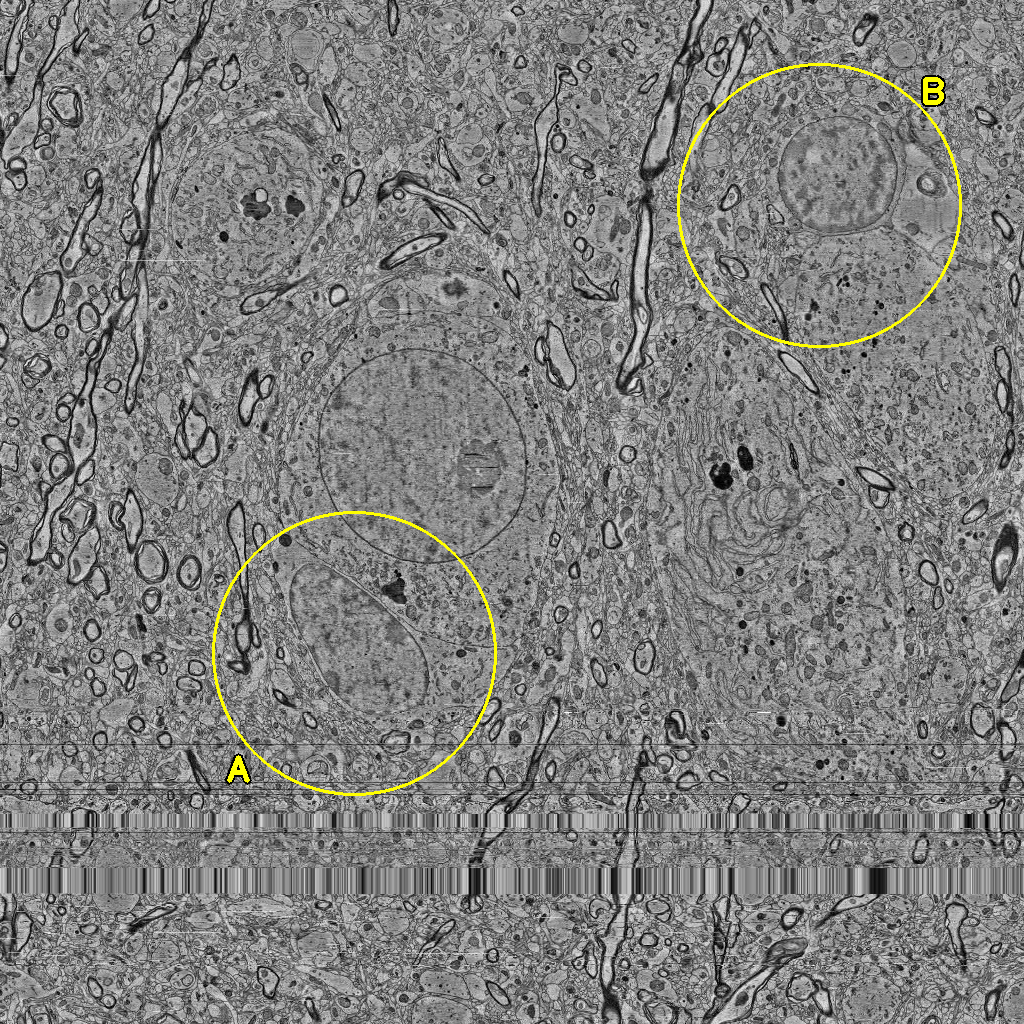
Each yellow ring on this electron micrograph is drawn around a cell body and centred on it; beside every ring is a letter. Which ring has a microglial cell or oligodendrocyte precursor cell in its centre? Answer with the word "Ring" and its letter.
Ring A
